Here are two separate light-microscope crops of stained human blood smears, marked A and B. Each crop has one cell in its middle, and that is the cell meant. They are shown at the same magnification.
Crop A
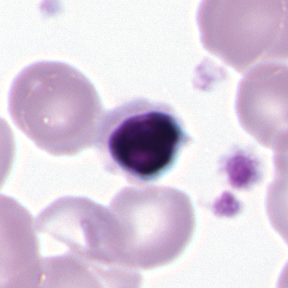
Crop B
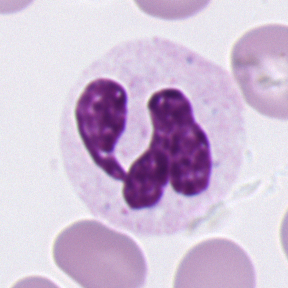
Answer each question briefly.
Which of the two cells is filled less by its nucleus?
B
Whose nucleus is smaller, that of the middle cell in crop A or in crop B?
A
